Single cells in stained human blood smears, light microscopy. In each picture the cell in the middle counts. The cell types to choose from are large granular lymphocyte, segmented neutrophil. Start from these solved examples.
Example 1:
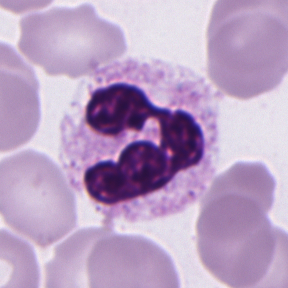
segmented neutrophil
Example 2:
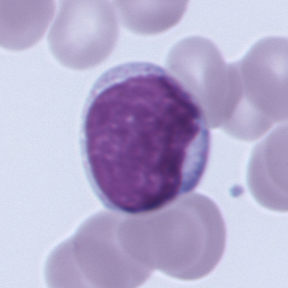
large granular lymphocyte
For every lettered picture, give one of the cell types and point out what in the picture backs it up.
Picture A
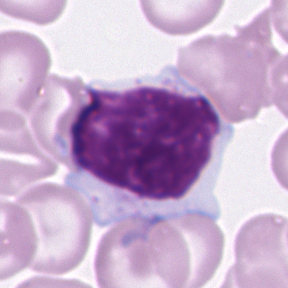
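large granular lymphocyte. Evidence: The nucleus fills most of the cell, leaving a narrow rim of cytoplasm that is widest below it.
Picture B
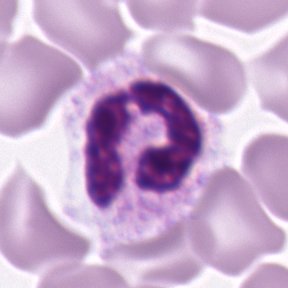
segmented neutrophil. Evidence: The nucleus is a curved band wrapped around a pale central patch of cytoplasm.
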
